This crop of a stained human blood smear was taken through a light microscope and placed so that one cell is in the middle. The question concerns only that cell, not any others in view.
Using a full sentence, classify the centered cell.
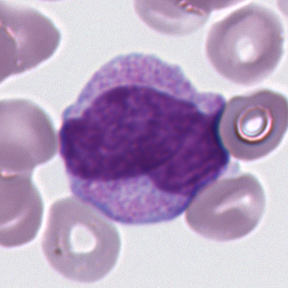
This particular crop is centered on an atypical promyelocyte.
